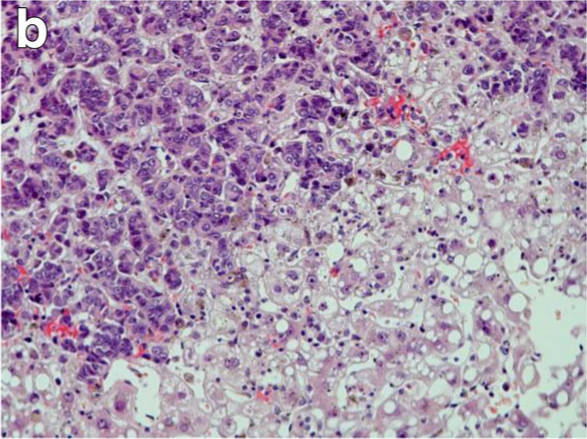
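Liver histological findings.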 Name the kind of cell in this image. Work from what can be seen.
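Large dark-staining cells with big nuclei crowd the upper left. They form small nests separated by thin spaces. Paler liver cells with fat vacuoles lie to the lower right. So: carcinoma cells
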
